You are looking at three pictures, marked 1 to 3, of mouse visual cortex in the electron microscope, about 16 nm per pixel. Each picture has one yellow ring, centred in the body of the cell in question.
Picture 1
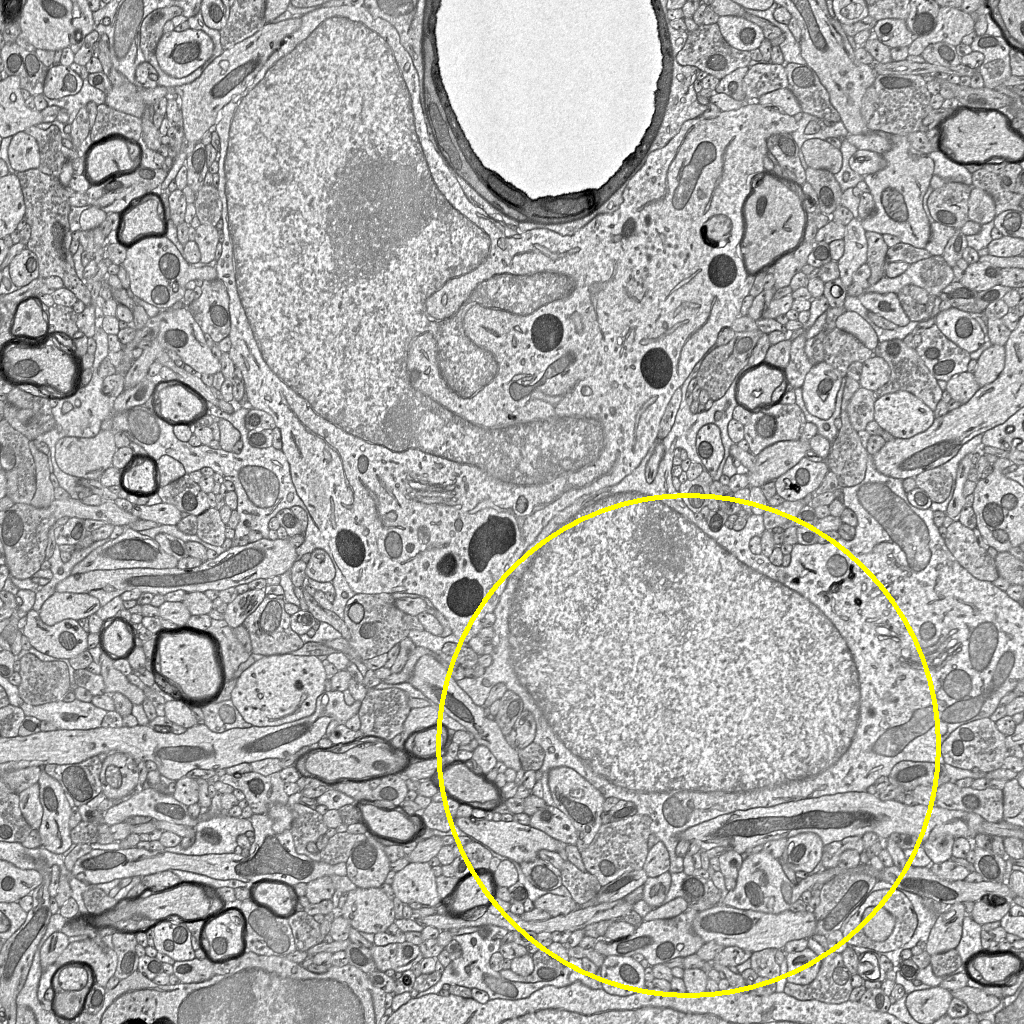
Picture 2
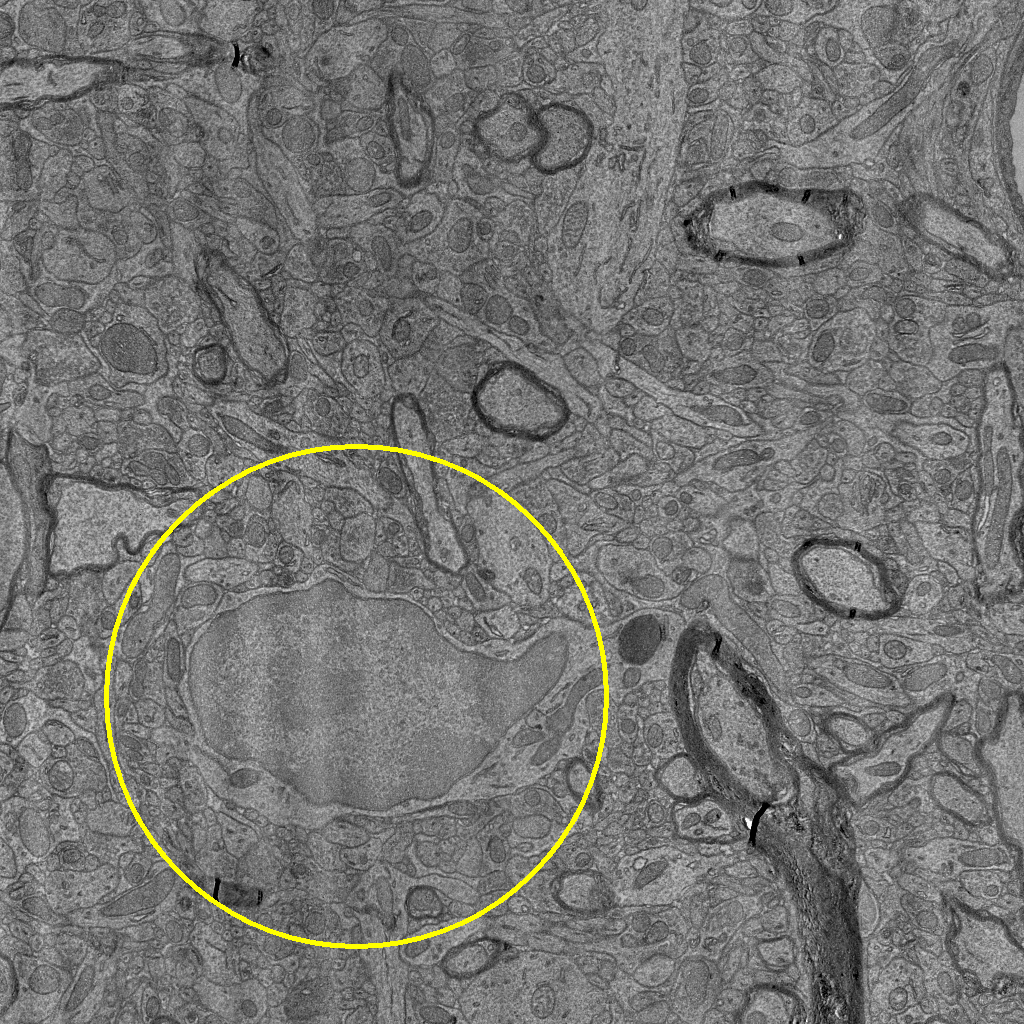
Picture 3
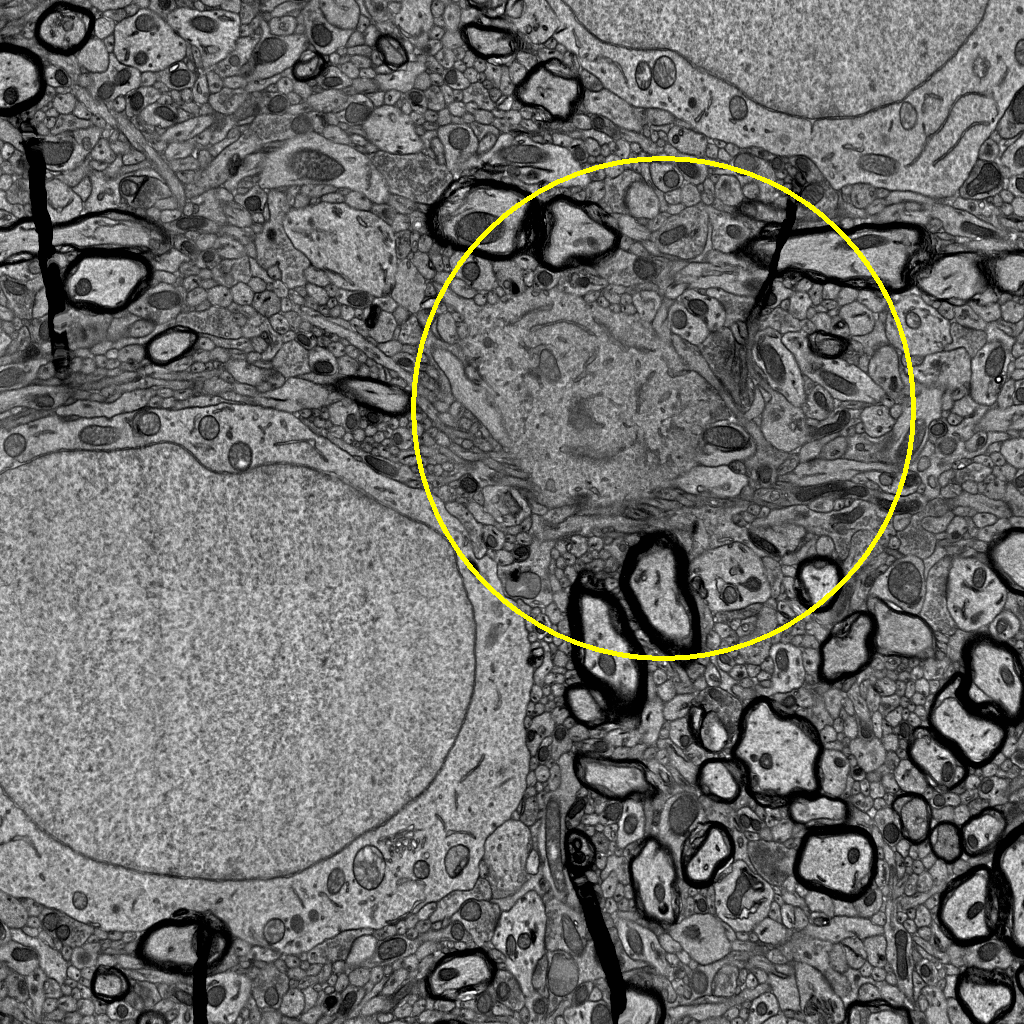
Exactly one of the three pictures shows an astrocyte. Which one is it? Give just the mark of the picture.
1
